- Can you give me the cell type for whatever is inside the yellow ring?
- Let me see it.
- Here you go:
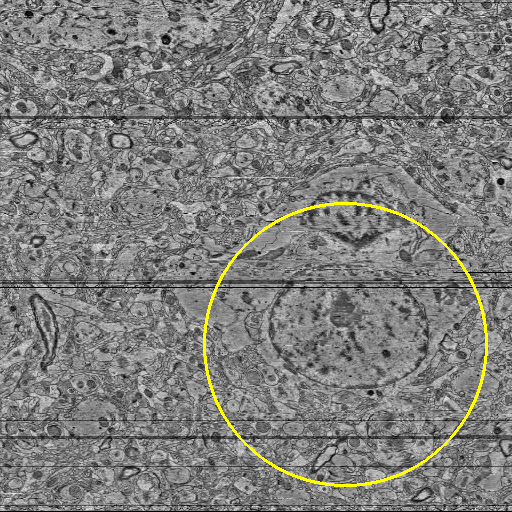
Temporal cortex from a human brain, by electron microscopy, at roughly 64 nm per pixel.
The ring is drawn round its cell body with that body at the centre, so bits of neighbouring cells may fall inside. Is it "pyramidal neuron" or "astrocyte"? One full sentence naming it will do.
The cell body in the middle of the ring in this picture belongs to an astrocyte.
